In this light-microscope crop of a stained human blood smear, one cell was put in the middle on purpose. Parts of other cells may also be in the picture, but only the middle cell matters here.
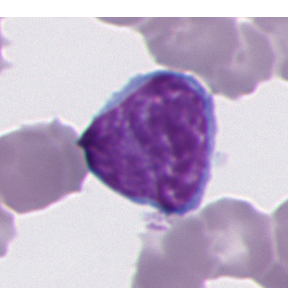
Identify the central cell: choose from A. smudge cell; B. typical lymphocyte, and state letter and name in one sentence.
Answer key: option B, the middle cell being a typical lymphocyte.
